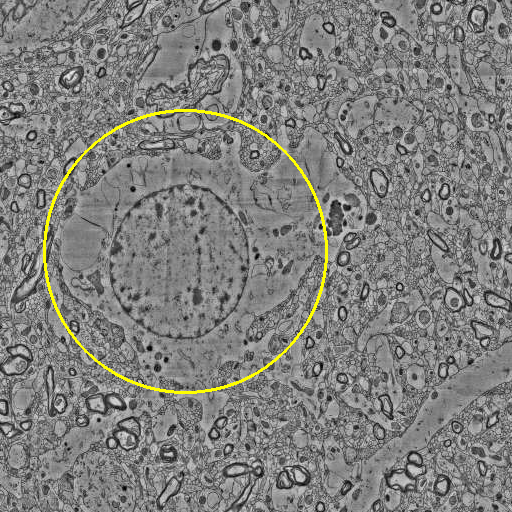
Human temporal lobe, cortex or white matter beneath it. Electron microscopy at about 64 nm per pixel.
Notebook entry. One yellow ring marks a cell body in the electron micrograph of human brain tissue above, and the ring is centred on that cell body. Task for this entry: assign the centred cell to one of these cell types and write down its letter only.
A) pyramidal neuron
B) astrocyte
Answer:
B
